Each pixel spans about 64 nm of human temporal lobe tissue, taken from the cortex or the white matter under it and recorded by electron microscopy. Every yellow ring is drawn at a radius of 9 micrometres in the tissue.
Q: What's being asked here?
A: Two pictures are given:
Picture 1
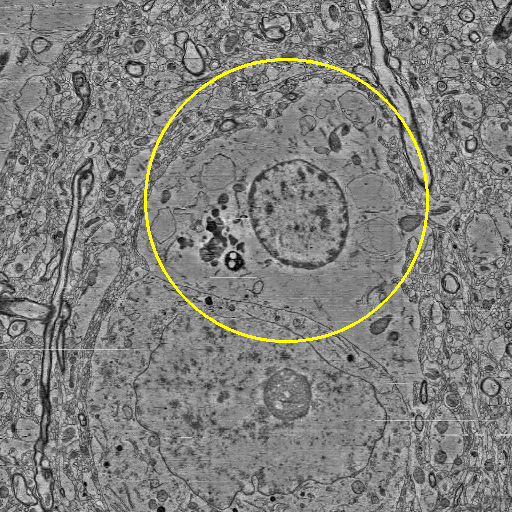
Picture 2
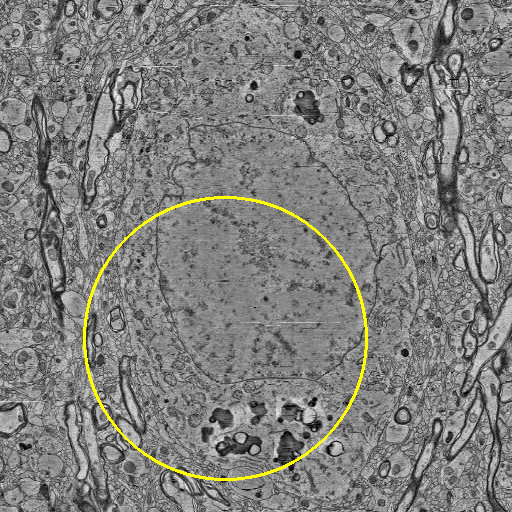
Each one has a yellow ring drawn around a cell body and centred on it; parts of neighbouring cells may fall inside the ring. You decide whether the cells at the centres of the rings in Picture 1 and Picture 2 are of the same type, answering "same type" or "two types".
two types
